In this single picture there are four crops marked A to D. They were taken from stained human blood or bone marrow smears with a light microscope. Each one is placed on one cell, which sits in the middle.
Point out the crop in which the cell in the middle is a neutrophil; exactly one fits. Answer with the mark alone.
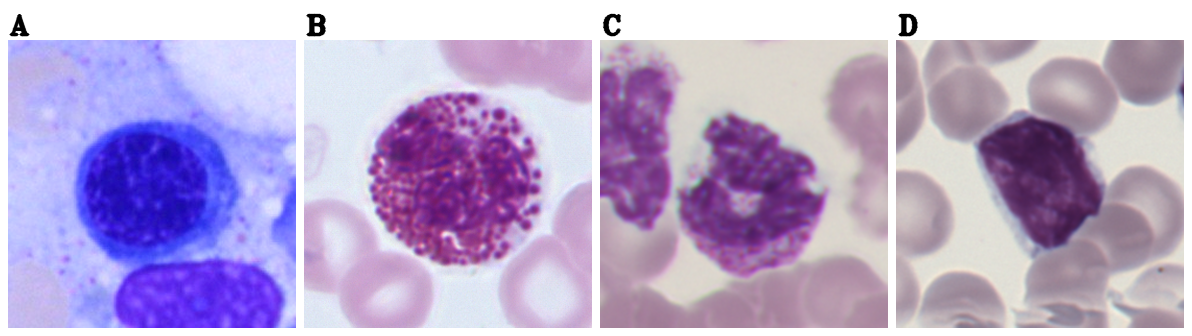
C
